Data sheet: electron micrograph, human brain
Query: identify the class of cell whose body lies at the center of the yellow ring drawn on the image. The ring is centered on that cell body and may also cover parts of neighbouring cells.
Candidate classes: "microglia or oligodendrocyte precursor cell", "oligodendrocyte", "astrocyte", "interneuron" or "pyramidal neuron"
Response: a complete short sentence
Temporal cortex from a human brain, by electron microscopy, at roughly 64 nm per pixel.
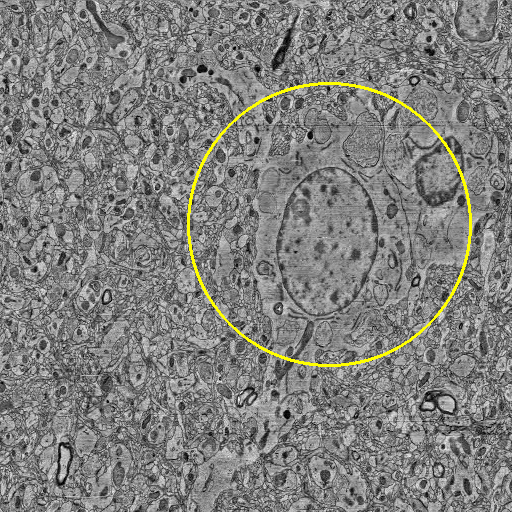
At the center of the ring lies an astrocyte.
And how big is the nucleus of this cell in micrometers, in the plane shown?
The nucleus of the ringed cell is clearly longer than it is wide in this plane, about 10 by 7 micrometres.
